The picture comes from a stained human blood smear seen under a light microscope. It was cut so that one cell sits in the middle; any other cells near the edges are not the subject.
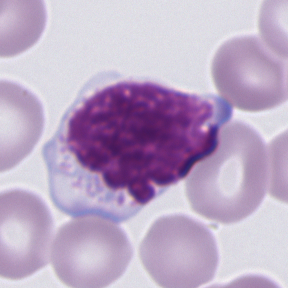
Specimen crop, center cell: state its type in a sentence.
The crop's centre is taken up by a large granular lymphocyte.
